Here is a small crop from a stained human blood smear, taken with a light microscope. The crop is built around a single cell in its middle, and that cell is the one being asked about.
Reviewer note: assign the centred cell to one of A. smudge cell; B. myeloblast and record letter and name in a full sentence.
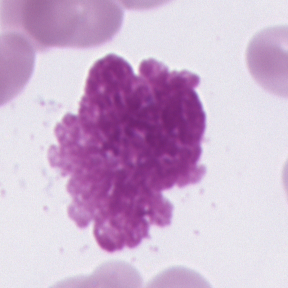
Option A holds, for the cell in the middle is a smudge cell.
